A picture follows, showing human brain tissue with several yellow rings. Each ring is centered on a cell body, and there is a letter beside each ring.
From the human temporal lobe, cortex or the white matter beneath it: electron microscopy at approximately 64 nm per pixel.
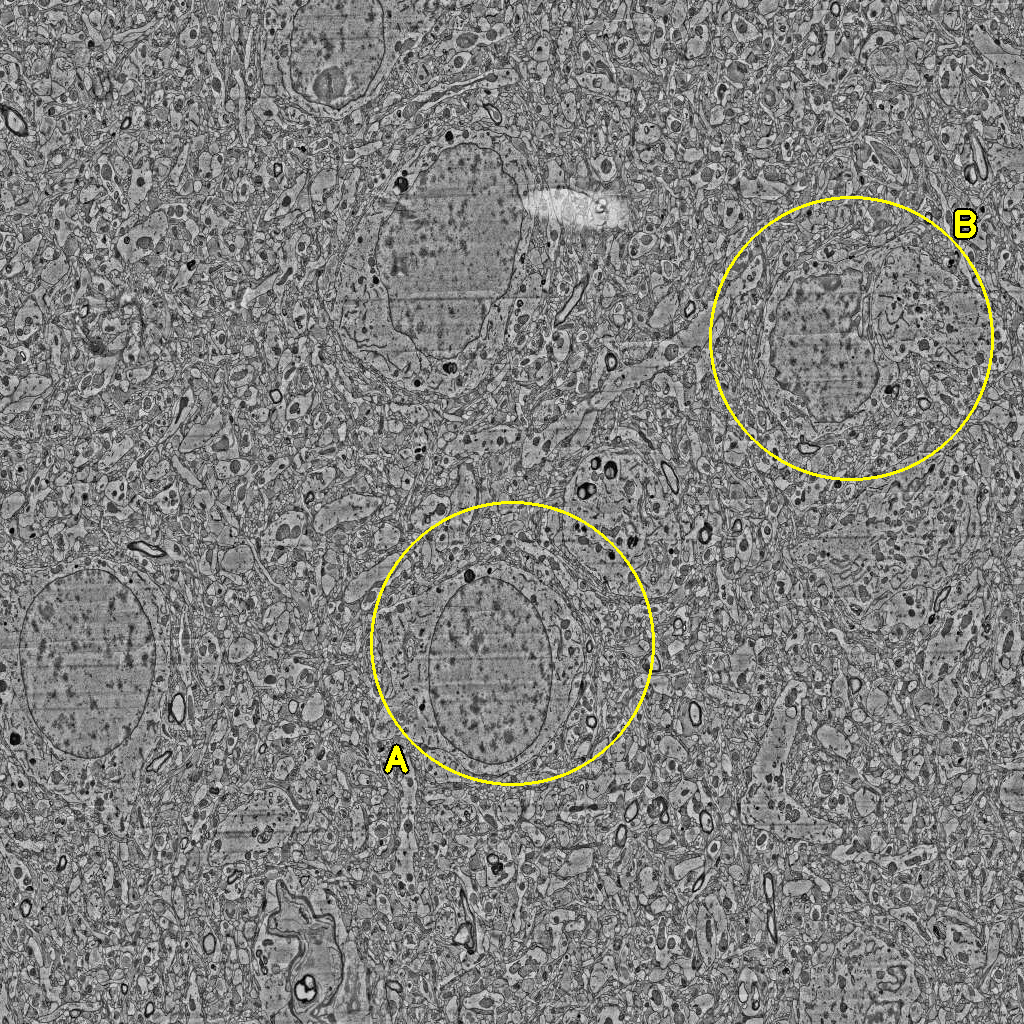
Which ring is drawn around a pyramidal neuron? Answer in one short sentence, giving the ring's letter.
Ring A is drawn around it.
